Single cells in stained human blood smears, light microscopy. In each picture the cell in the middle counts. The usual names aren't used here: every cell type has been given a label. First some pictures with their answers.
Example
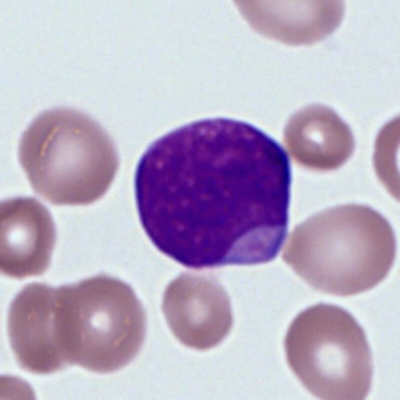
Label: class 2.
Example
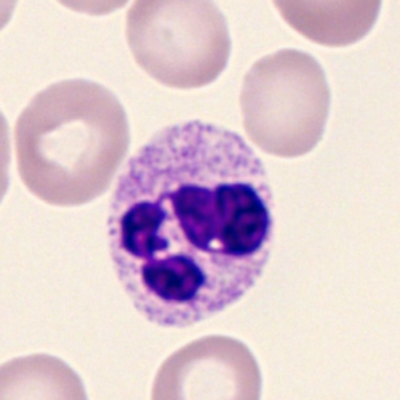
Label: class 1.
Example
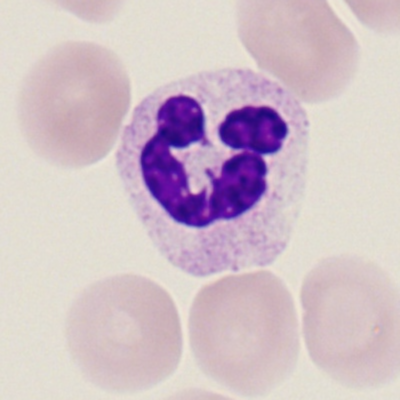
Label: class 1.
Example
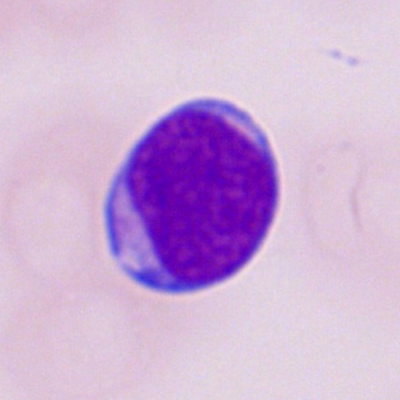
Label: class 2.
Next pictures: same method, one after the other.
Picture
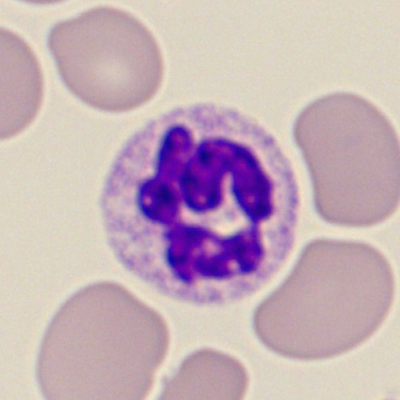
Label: class 1.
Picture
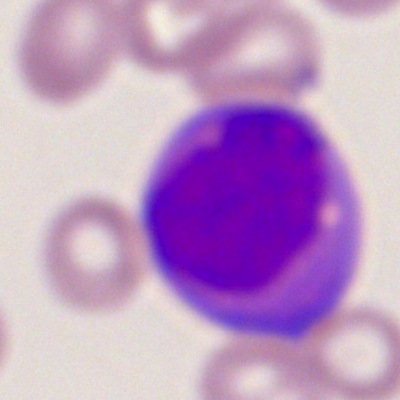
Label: class 2.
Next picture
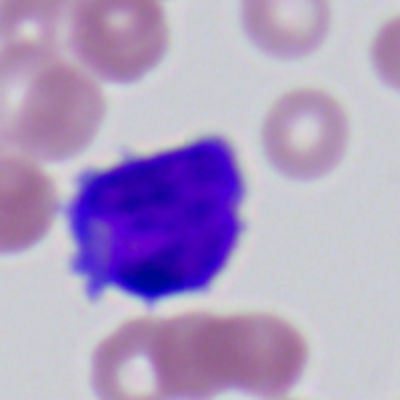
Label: class 2.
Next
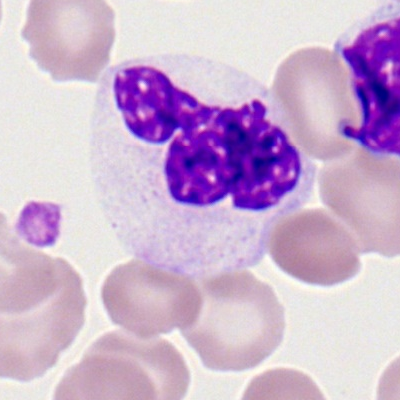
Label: class 1.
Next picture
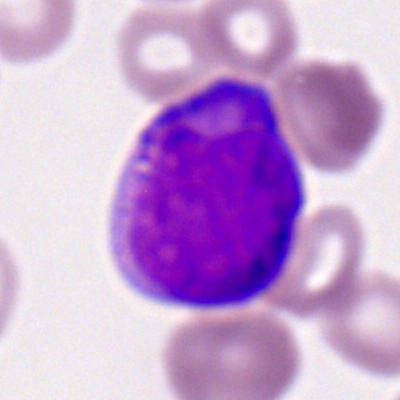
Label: class 2.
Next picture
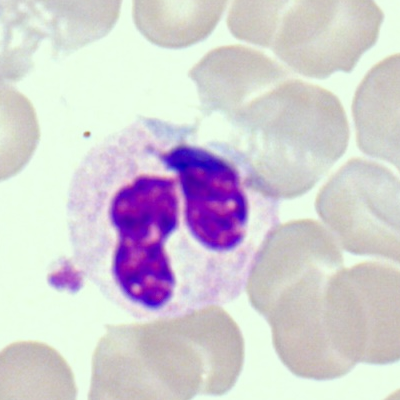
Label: class 1.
